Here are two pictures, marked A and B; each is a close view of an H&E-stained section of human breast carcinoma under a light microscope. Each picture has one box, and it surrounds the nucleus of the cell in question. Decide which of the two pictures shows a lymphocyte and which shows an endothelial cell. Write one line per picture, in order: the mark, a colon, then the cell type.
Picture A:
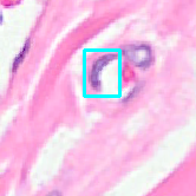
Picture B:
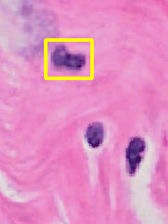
A: endothelial cell
B: lymphocyte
